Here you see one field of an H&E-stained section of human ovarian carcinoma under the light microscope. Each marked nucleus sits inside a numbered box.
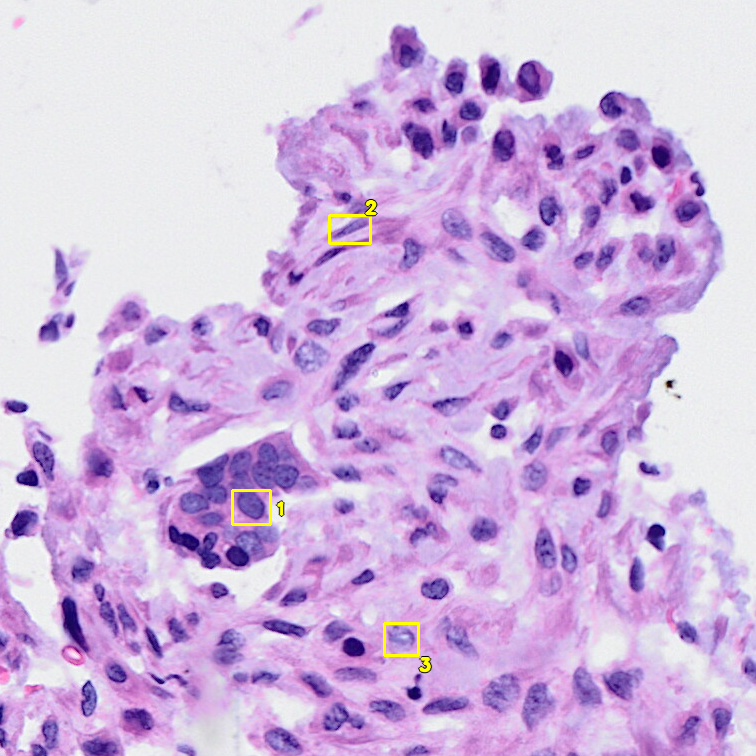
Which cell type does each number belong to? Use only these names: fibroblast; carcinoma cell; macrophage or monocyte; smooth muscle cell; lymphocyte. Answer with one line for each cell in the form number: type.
1: carcinoma cell
2: fibroblast
3: fibroblast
